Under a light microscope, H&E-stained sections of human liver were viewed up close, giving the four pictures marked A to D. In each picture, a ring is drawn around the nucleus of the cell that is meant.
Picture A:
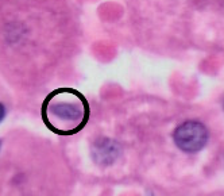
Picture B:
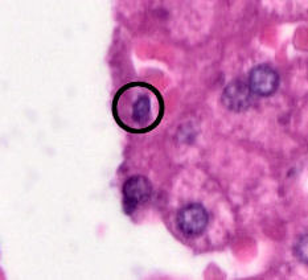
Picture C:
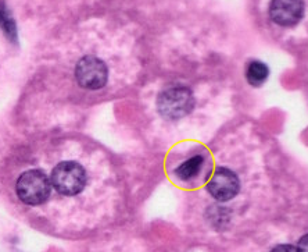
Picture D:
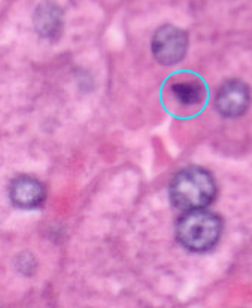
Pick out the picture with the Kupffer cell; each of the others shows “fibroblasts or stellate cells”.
A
